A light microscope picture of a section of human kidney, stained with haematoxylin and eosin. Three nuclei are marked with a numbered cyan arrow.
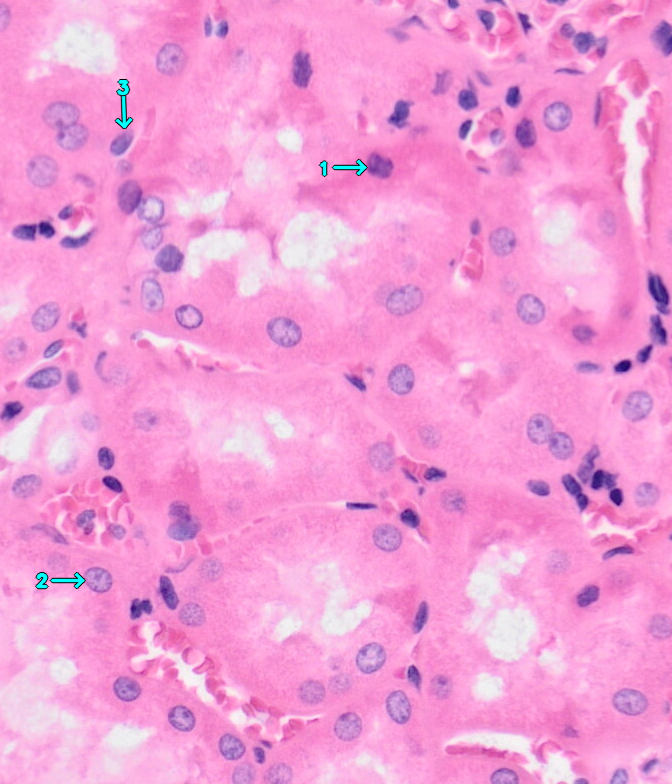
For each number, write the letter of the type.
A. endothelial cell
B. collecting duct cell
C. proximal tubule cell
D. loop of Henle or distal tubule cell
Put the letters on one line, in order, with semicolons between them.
C; C; A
